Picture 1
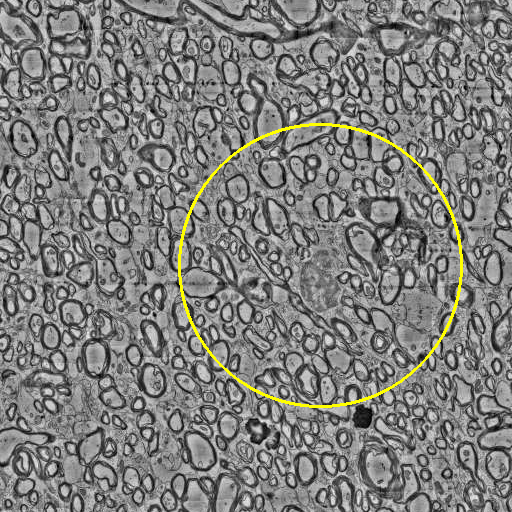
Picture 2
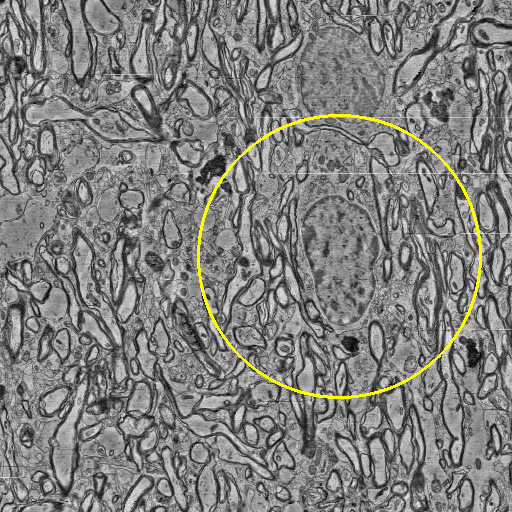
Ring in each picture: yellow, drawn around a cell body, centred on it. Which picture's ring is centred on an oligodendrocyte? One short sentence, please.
Picture 1 is the one.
